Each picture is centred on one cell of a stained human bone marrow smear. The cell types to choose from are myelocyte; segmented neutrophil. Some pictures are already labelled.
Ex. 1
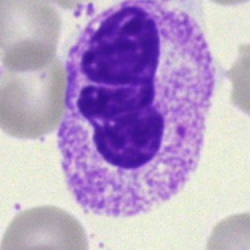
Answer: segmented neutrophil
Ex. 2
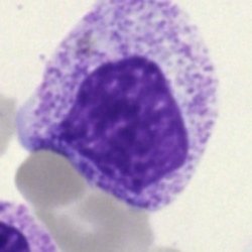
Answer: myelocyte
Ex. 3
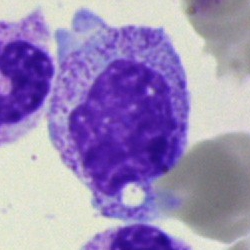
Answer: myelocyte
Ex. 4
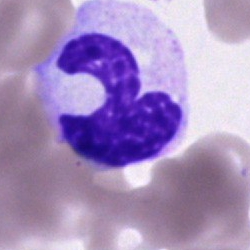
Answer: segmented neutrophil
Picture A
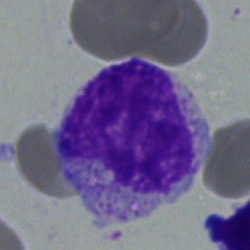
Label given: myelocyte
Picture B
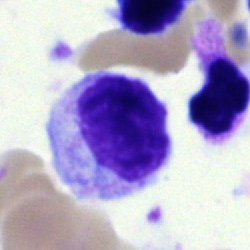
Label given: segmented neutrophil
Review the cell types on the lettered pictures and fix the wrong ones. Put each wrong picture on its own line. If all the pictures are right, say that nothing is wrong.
B: change segmented neutrophil to myelocyte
